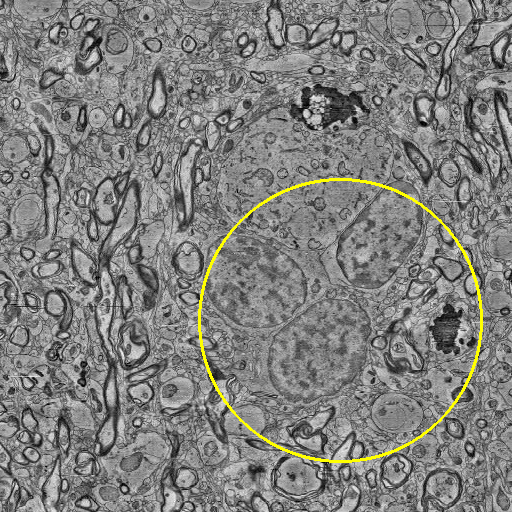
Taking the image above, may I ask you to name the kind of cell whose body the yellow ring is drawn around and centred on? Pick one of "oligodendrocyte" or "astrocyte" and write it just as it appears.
oligodendrocyte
